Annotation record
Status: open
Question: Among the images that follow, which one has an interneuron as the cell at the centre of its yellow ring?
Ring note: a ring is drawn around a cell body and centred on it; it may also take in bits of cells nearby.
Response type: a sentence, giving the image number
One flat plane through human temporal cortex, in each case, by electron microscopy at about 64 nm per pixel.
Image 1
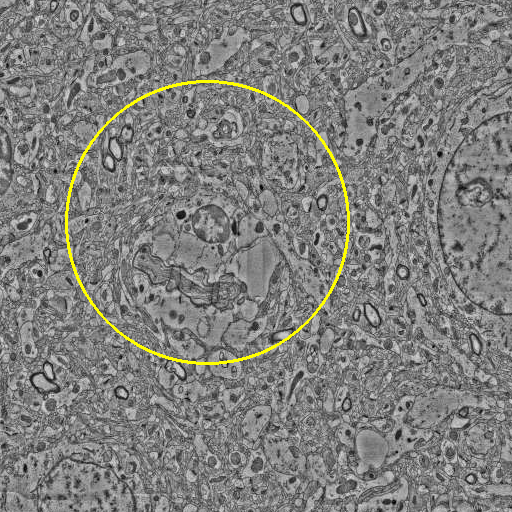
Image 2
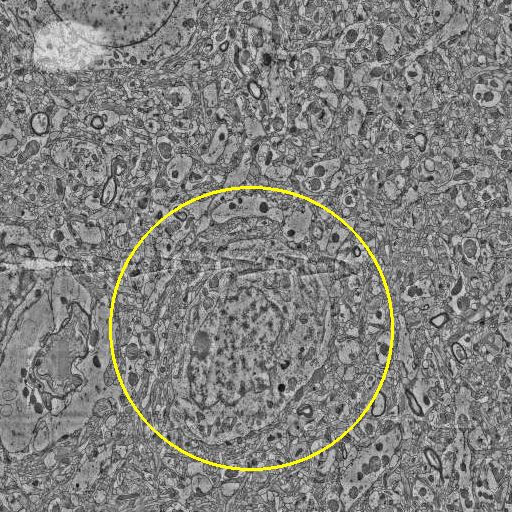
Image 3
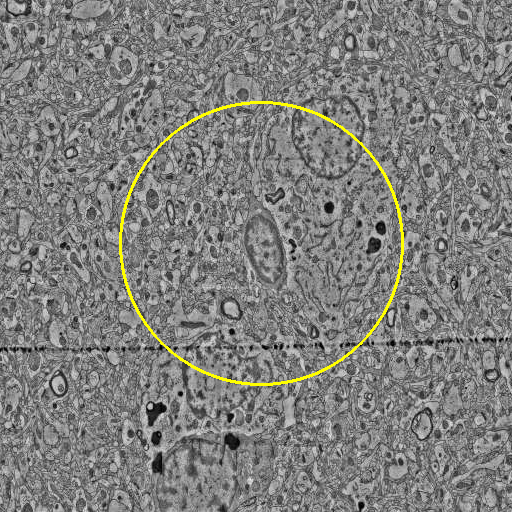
Image 2 shows it at the centre of its ring.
